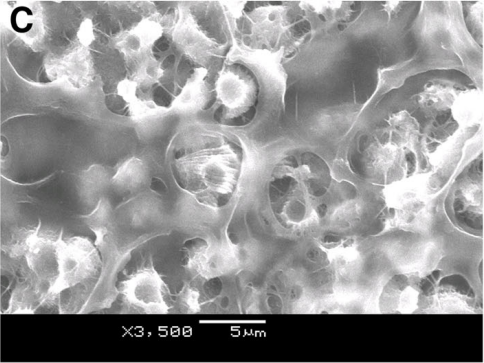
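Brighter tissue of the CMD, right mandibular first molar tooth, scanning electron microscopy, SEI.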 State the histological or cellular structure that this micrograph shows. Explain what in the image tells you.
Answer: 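Roundish bodies a few micrometres across sit in cup-like hollows. Thin spiky extensions project from the rounded bodies. A smooth, featureless sheet-like material surrounds them. That points to this answer: spherical structures resembling cells, with protruding cytoplasmic processes.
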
